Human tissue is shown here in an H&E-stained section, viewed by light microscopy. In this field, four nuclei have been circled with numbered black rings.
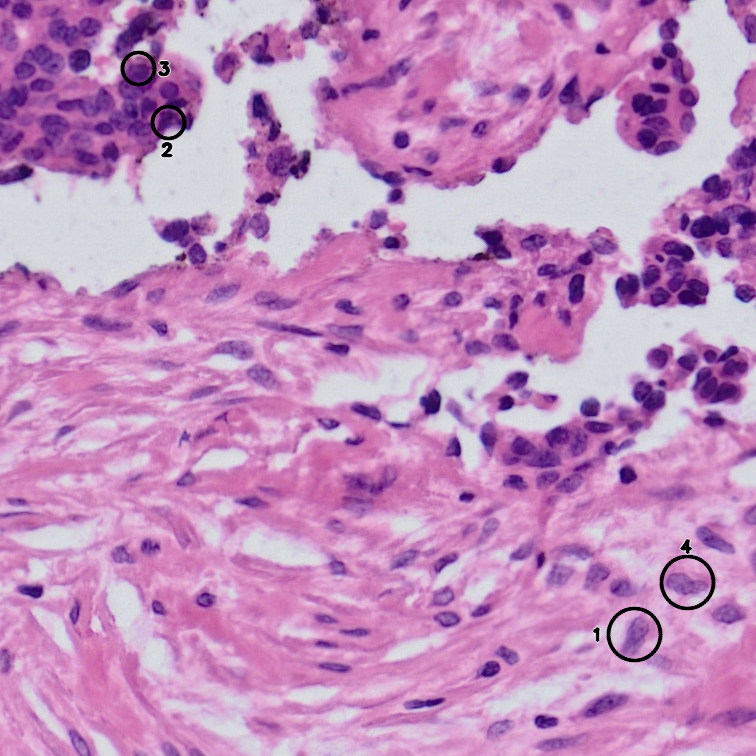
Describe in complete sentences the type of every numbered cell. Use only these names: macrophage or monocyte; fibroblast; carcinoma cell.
Cell 1 is a fibroblast, cell 2 is a carcinoma cell, cell 3 is a carcinoma cell and cell 4 is a fibroblast.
